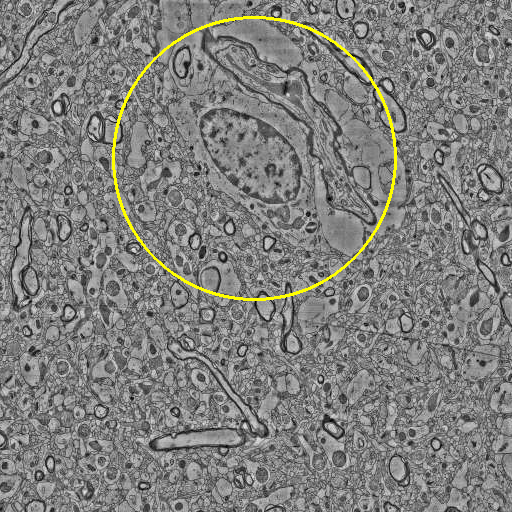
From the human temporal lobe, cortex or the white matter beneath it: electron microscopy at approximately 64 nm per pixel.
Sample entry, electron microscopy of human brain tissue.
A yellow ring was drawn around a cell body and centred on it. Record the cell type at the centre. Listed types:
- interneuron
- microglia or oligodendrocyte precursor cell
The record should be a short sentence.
The cell at the ring's centre is a microglial cell or oligodendrocyte precursor cell.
